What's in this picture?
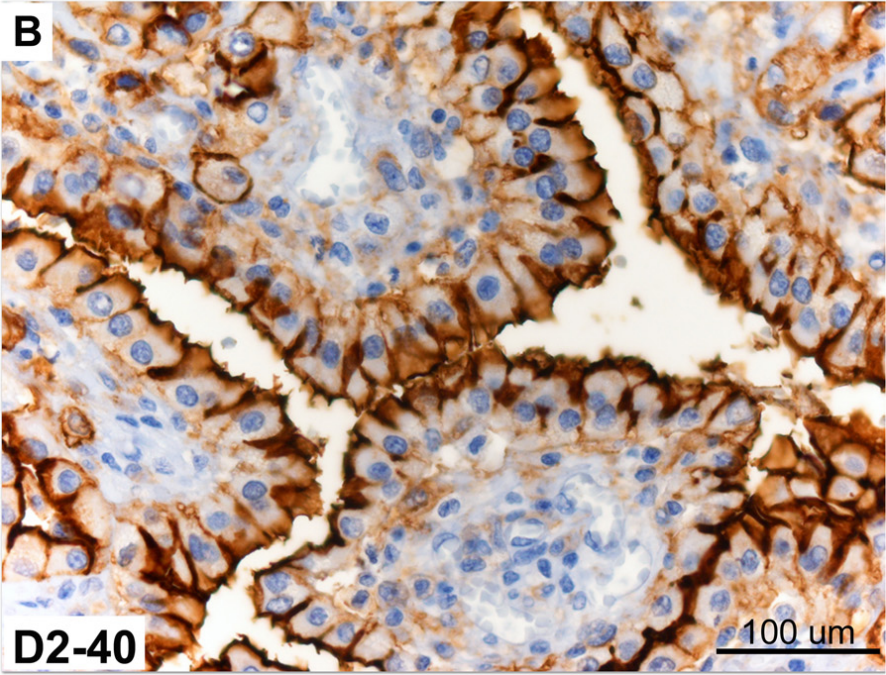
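Epithelial cells line papillary structures that face narrow clear spaces. Brown stain is strongest along the luminal surface of the lining cells and along their borders, while their cytoplasm is only lightly stained. The round blue nuclei lie in the cells, which form a crowded layer over pale stromal cores.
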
